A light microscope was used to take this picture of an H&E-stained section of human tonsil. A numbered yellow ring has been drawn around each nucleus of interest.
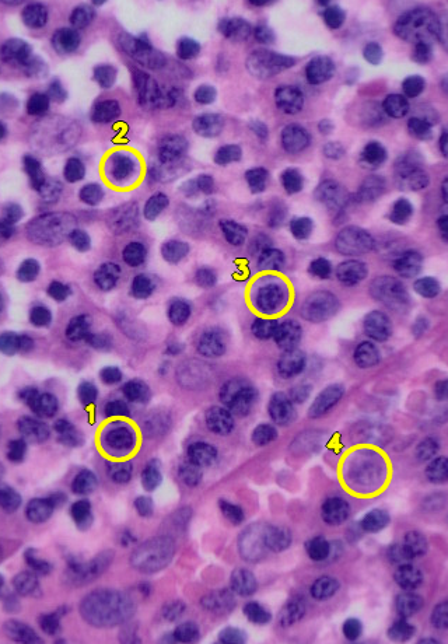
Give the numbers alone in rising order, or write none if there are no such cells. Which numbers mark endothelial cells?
4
